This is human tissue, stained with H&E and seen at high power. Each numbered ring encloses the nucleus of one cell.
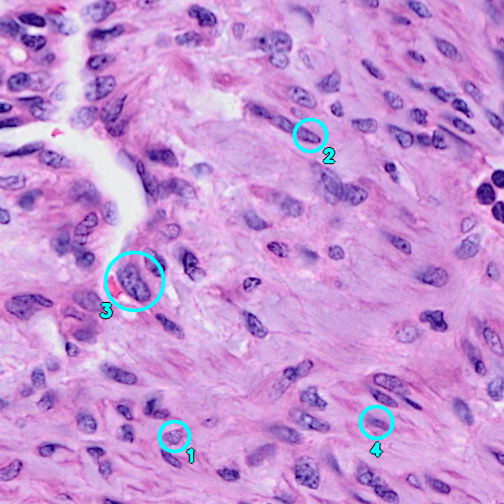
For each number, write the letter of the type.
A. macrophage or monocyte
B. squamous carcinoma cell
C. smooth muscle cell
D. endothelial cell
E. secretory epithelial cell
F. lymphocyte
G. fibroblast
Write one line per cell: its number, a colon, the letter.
1: C
2: C
3: D
4: C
